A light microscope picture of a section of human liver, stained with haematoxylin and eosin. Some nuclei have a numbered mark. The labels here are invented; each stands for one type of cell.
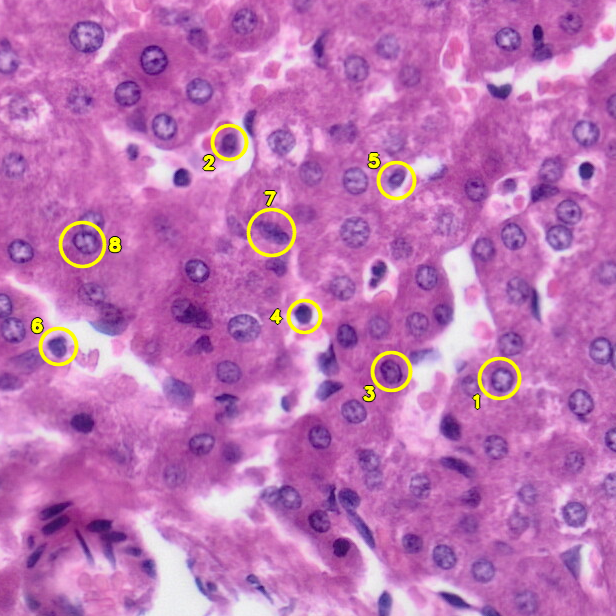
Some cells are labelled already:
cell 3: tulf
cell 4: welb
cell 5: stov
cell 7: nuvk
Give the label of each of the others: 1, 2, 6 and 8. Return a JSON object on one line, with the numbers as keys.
{"1": "tulf", "2": "stov", "6": "welb", "8": "tulf"}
